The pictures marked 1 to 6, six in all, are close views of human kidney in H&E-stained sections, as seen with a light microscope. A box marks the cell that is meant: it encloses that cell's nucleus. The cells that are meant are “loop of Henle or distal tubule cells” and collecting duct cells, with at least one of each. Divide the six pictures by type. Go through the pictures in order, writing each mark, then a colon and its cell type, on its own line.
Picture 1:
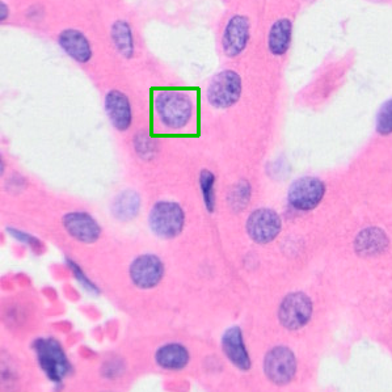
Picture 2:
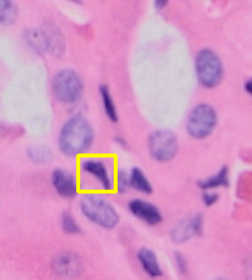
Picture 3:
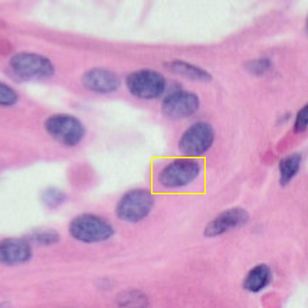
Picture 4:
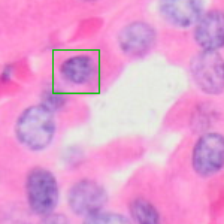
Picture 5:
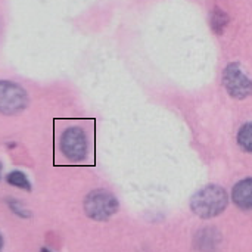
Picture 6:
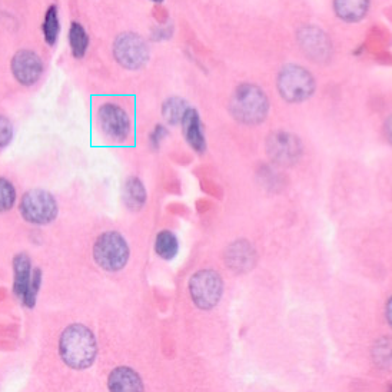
1: loop of Henle or distal tubule cell
2: collecting duct cell
3: loop of Henle or distal tubule cell
4: collecting duct cell
5: loop of Henle or distal tubule cell
6: loop of Henle or distal tubule cell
